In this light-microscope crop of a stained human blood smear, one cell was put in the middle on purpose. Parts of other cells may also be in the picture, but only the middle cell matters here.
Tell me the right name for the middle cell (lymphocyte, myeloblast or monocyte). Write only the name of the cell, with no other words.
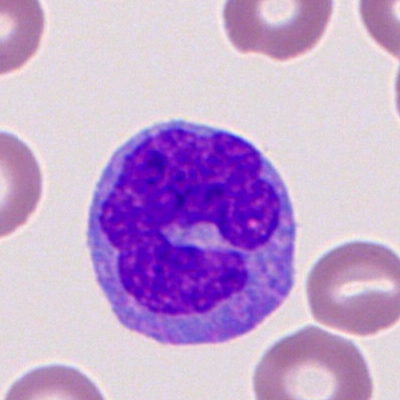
monocyte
